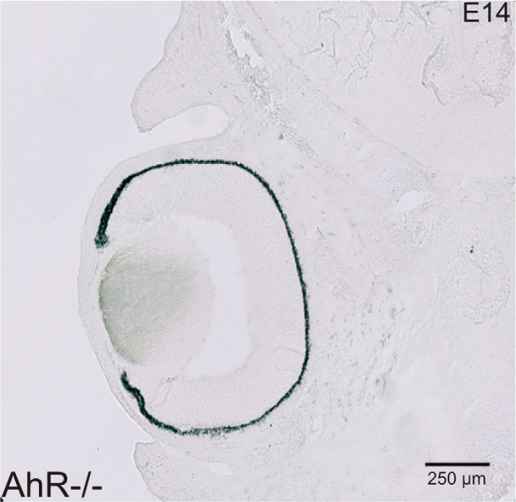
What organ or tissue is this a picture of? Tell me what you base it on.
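A round lens sits inside a cup-shaped layered tissue. A continuous dark pigmented line outlines the cup. That points to this answer: eyes.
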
